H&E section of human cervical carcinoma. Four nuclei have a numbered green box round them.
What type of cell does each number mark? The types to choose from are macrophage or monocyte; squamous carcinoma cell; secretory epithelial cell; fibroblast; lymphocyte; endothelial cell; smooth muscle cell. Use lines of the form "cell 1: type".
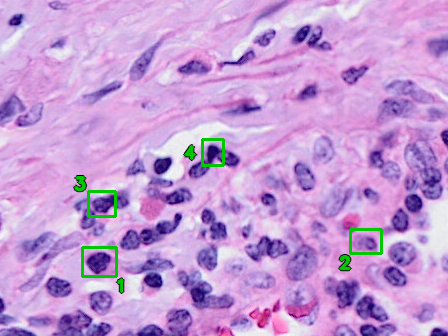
cell 1: lymphocyte
cell 2: endothelial cell
cell 3: lymphocyte
cell 4: lymphocyte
